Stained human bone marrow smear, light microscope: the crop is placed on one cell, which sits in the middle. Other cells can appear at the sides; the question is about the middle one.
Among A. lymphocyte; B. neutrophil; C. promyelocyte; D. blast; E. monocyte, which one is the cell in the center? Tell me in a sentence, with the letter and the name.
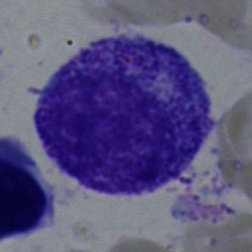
The best answer is option C, since the cell in the middle is a promyelocyte.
